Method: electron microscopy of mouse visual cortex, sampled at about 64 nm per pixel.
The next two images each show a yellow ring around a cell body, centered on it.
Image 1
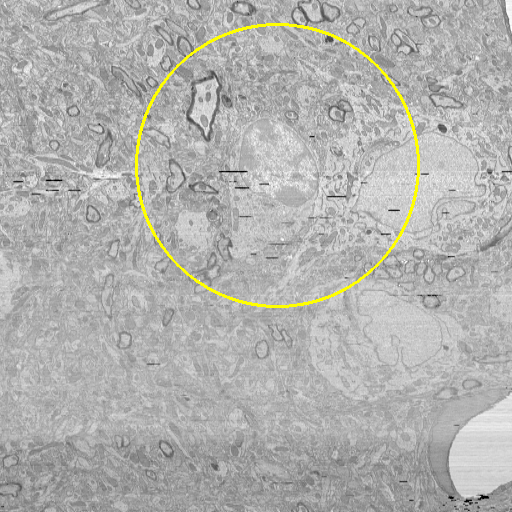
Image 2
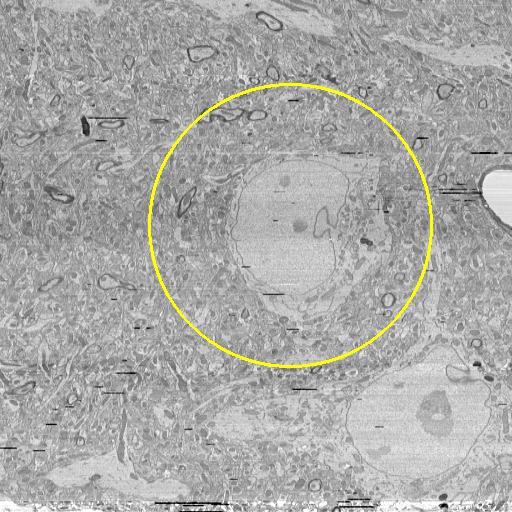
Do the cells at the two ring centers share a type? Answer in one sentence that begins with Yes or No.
No, across the two images the cells at the ring centers are of two types.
